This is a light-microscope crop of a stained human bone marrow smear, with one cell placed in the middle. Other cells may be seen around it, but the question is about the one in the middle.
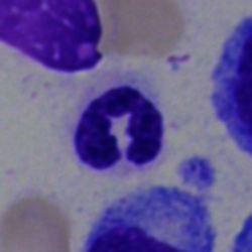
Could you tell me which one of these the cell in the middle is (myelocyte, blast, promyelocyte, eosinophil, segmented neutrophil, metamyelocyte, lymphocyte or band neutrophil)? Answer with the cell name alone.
segmented neutrophil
